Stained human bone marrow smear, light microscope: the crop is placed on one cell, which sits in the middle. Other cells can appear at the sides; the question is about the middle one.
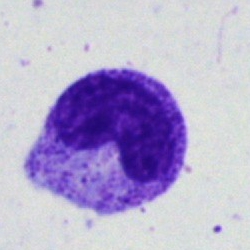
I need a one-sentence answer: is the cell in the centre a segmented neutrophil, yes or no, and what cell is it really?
No, the central cell is a band neutrophil, not a segmented neutrophil.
